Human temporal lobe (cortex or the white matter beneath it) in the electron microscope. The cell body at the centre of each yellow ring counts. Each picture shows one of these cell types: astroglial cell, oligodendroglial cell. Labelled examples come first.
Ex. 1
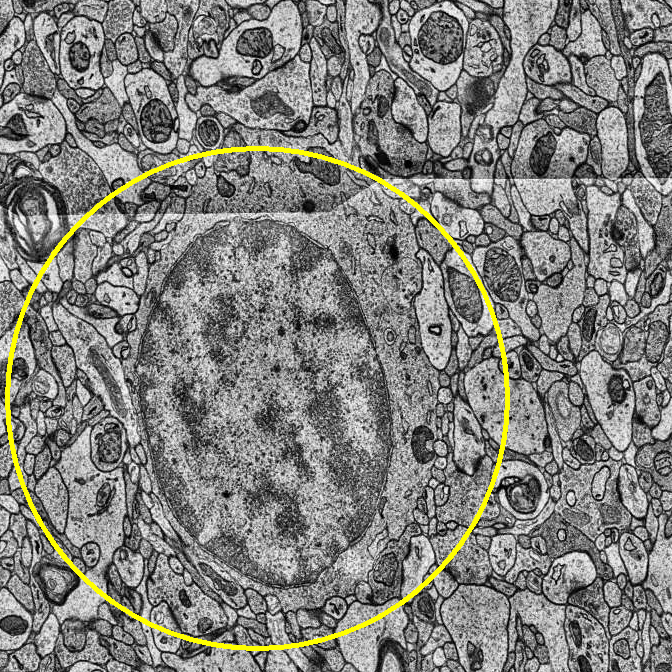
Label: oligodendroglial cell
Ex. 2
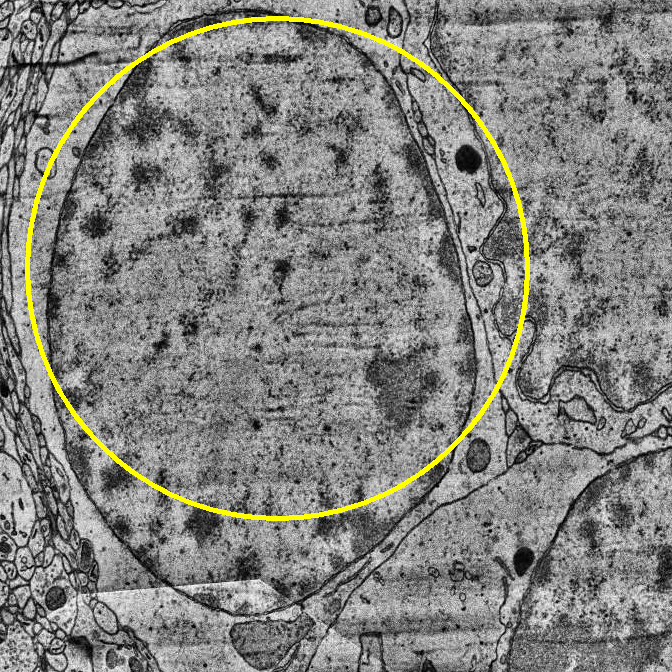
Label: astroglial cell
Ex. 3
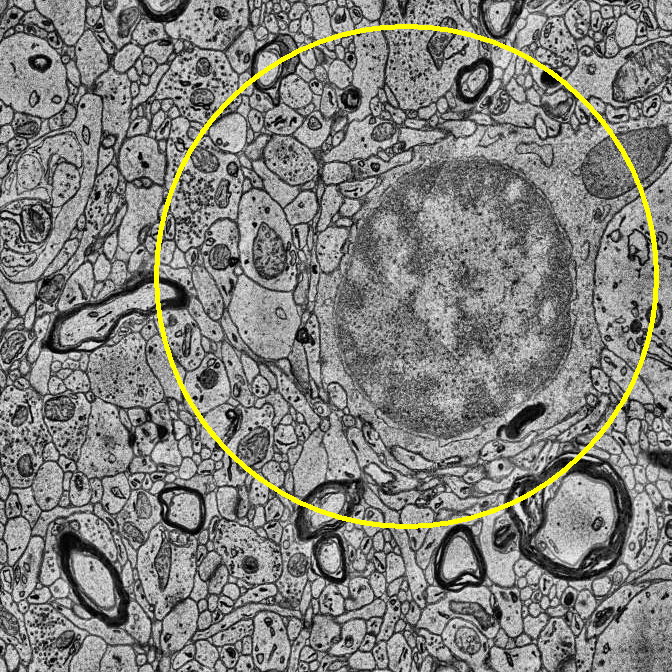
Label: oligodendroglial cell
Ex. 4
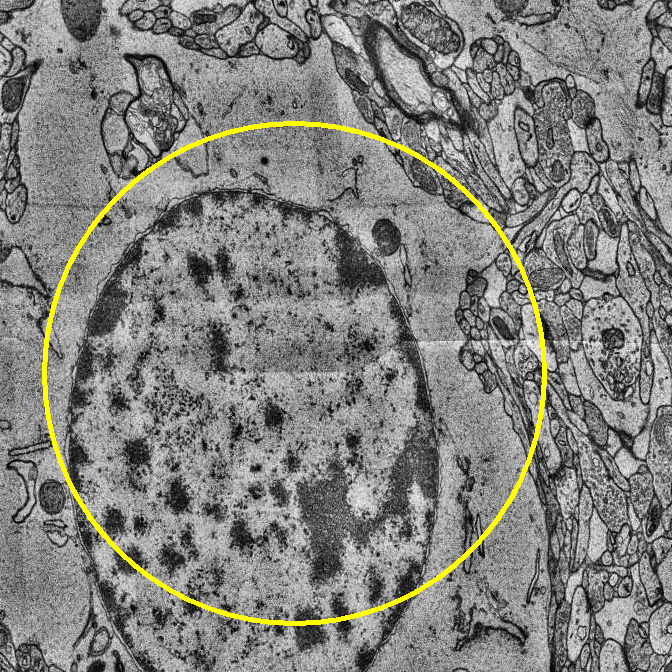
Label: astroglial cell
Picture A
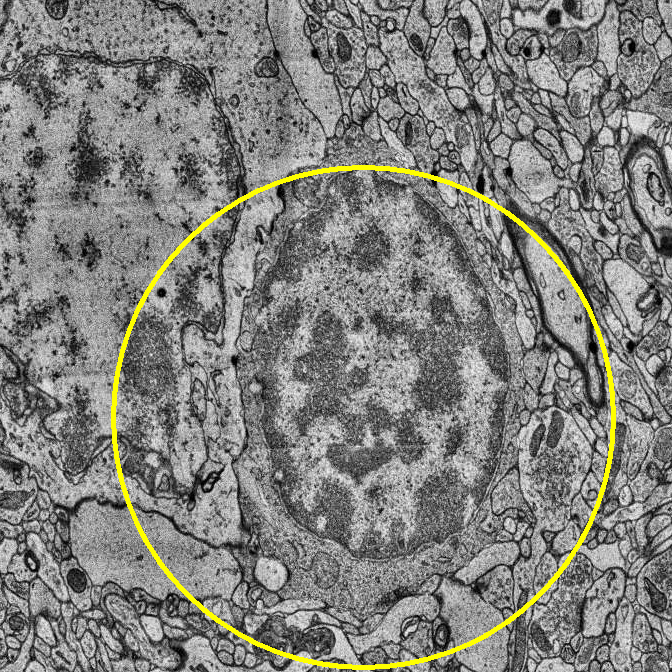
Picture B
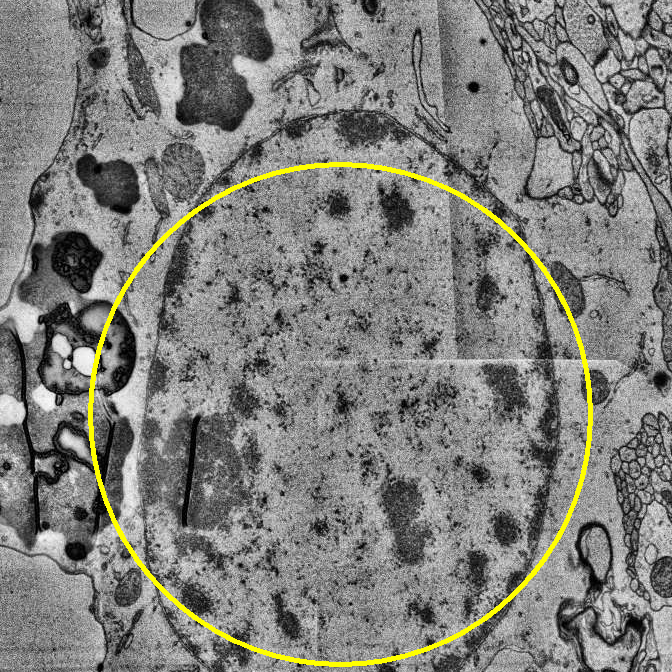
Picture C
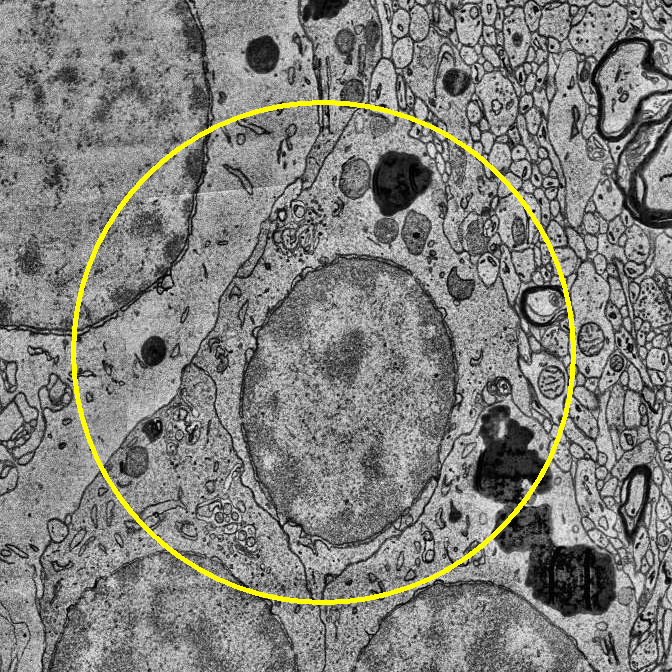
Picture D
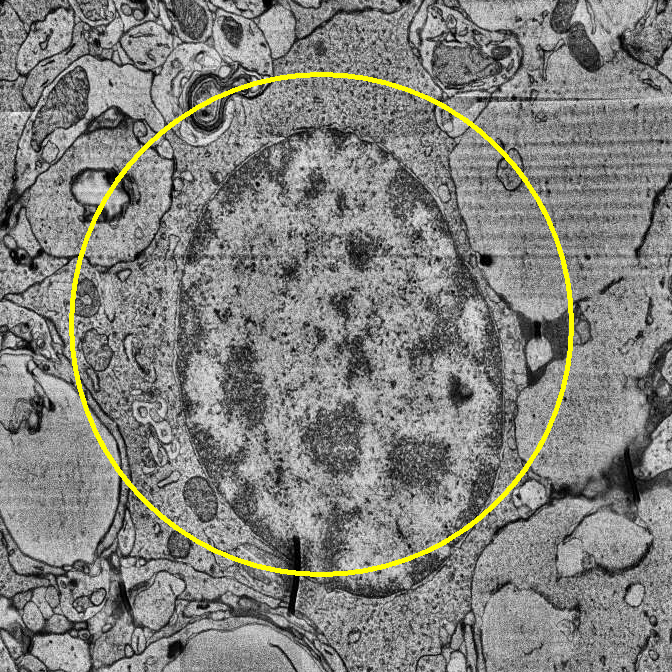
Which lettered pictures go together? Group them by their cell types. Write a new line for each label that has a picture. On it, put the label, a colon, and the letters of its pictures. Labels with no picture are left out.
astroglial cell: B
oligodendroglial cell: A, C, D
